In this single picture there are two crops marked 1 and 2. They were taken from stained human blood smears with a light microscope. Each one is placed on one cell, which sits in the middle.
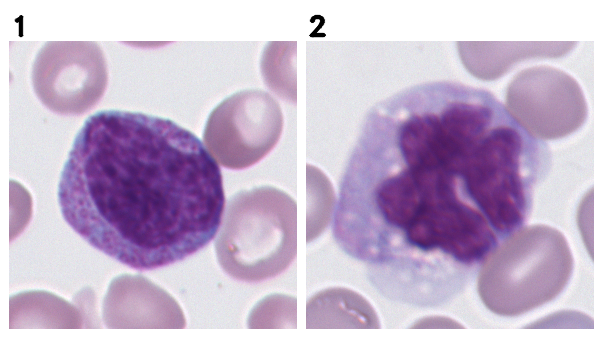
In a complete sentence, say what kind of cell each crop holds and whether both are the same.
No, an atypical promyelocyte occupies the middle of crop 1, and a monocyte the middle of crop 2.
